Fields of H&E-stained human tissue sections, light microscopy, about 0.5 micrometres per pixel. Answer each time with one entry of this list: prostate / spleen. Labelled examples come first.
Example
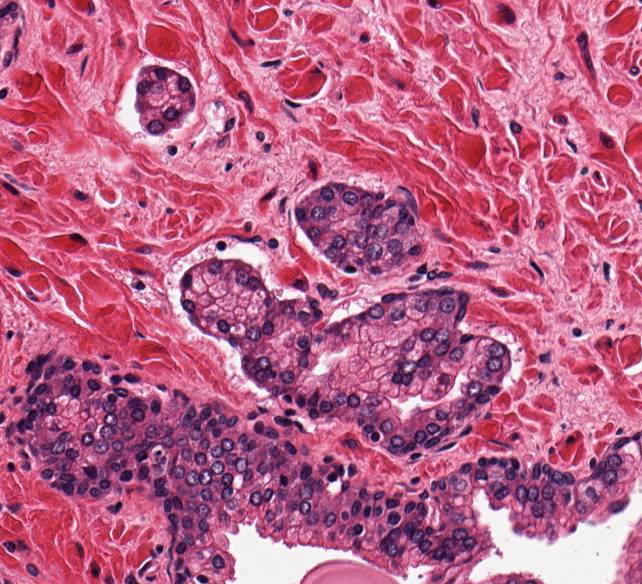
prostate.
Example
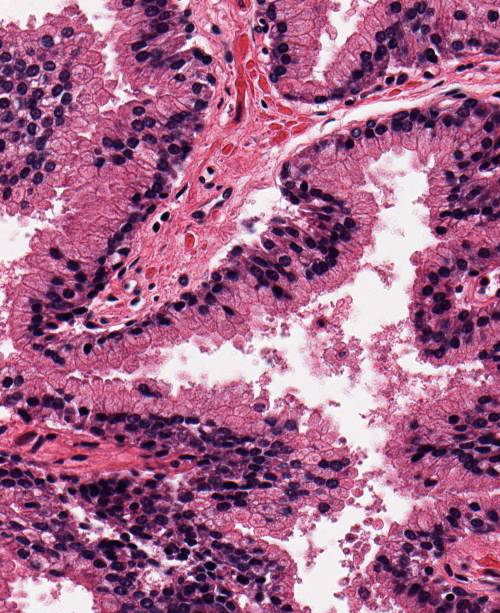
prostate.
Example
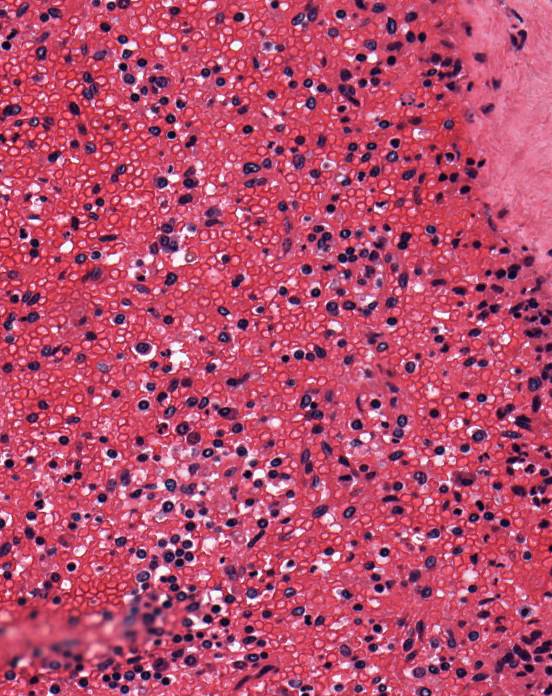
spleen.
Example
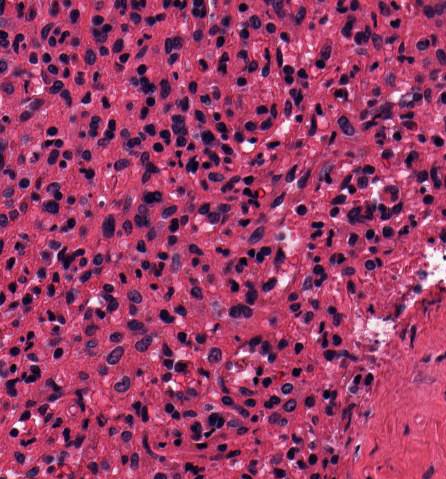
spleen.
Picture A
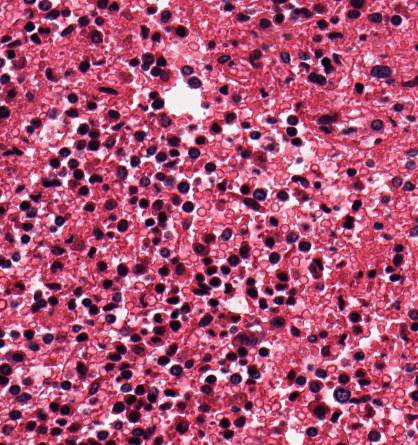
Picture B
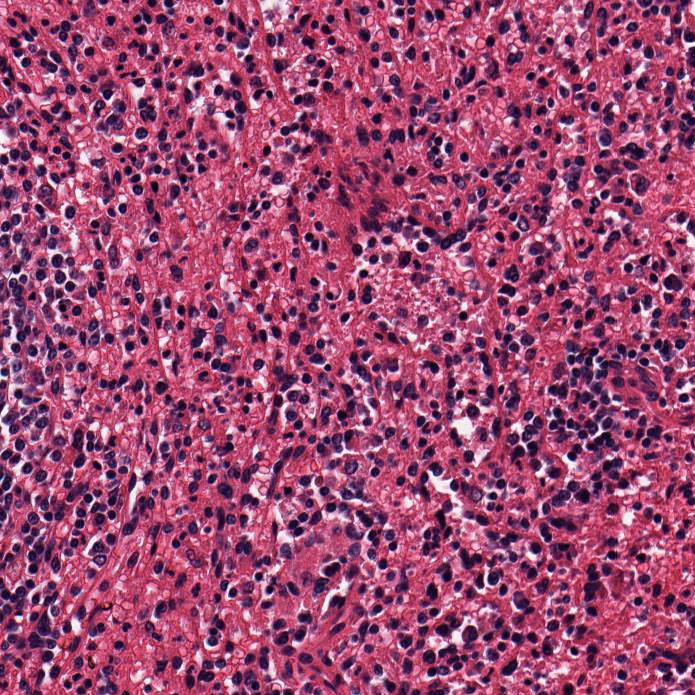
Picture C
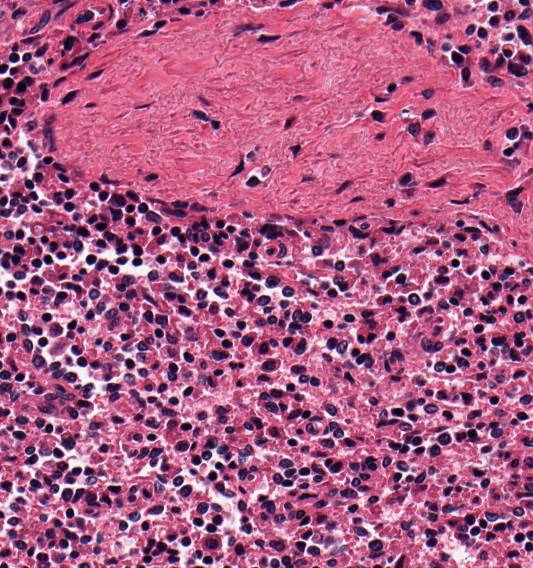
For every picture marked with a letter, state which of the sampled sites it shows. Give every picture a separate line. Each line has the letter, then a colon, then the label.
A: spleen.
B: spleen.
C: spleen.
